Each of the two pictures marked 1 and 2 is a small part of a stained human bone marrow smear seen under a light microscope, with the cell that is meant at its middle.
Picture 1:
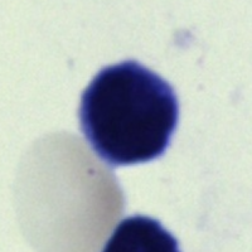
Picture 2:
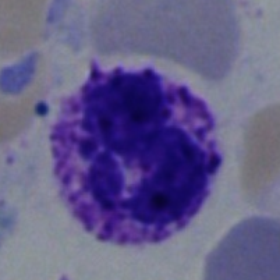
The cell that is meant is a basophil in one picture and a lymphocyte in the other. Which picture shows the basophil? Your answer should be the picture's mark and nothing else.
2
